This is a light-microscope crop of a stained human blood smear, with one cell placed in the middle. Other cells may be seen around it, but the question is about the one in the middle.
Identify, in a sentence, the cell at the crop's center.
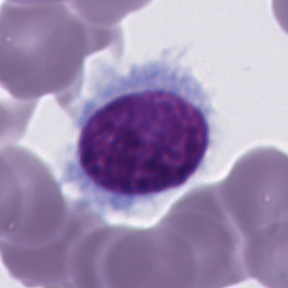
The cell centred in this crop is categorized as a hairy cell.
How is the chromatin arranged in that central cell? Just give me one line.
Coarse clumps are absent, and the chromatin is fine throughout.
